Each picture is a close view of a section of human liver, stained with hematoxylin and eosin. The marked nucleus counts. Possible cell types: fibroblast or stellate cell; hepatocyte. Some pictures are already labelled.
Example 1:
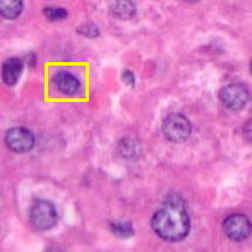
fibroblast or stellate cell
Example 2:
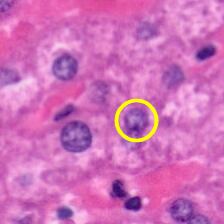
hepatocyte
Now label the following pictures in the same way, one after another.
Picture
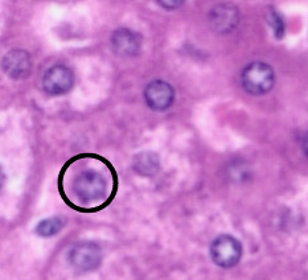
hepatocyte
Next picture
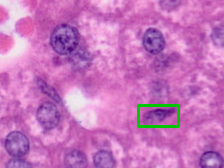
fibroblast or stellate cell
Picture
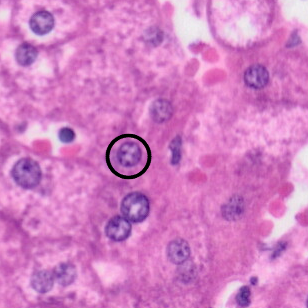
hepatocyte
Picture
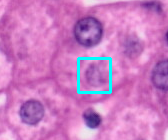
hepatocyte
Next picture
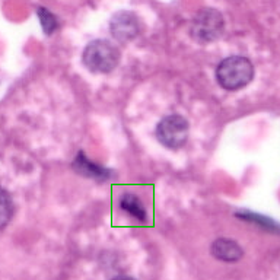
fibroblast or stellate cell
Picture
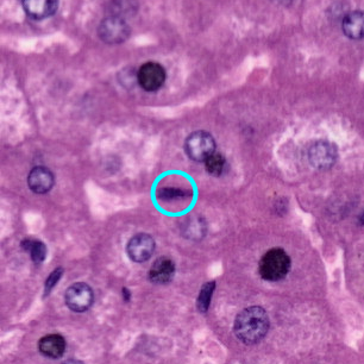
fibroblast or stellate cell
